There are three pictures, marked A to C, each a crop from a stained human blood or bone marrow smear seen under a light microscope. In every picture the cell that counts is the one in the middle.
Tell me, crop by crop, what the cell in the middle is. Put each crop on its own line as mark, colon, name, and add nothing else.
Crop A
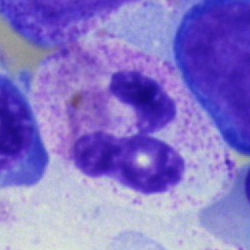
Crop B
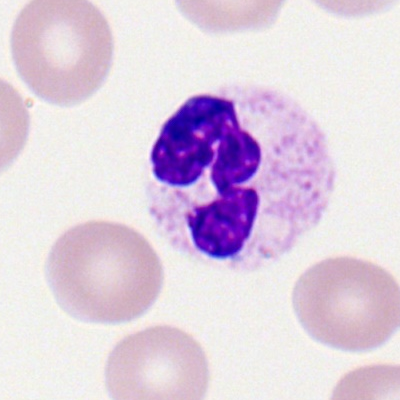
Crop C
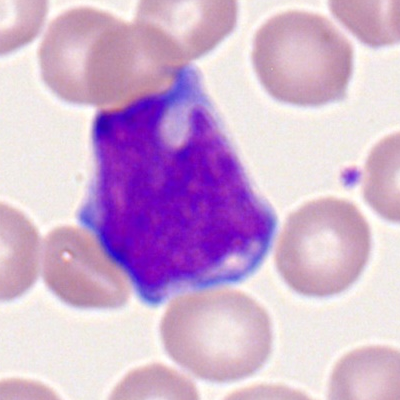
A: neutrophil
B: neutrophil
C: blast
